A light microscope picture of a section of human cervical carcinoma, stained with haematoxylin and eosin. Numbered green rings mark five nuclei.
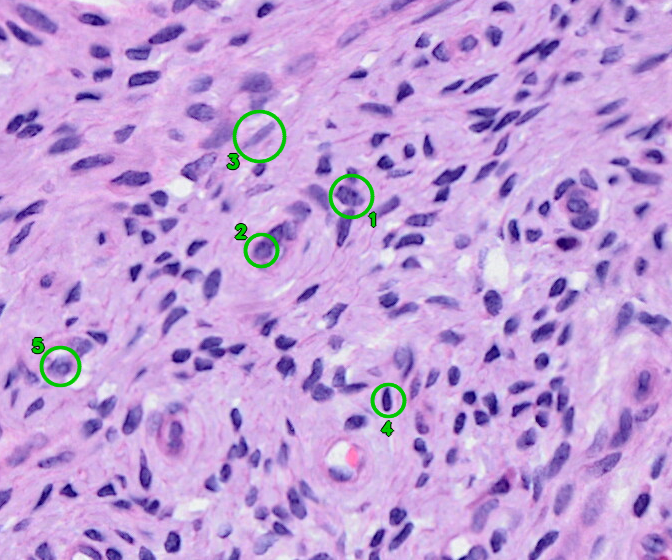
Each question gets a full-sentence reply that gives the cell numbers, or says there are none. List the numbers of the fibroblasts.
The cells numbered 1, 3 and 4 are typed as fibroblasts.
